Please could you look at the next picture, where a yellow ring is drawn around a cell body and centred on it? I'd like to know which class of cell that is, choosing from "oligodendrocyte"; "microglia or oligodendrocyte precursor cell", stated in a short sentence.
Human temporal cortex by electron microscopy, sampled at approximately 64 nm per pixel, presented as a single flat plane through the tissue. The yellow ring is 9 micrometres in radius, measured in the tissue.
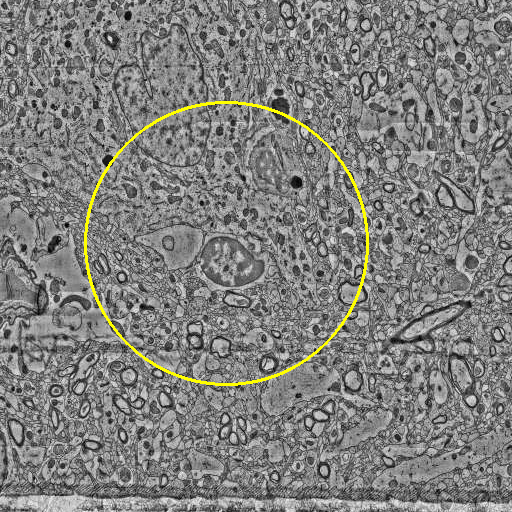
The ring's centre lies on a microglial cell or oligodendrocyte precursor cell.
